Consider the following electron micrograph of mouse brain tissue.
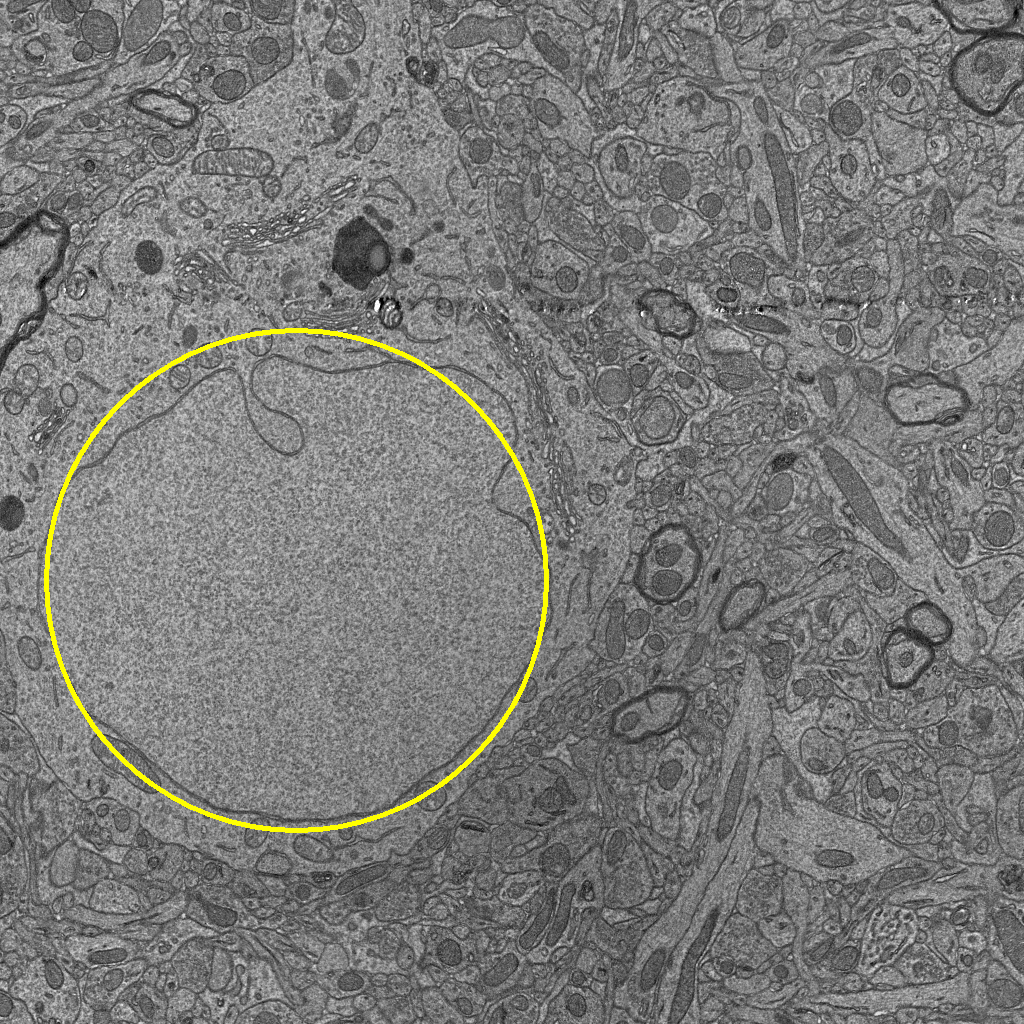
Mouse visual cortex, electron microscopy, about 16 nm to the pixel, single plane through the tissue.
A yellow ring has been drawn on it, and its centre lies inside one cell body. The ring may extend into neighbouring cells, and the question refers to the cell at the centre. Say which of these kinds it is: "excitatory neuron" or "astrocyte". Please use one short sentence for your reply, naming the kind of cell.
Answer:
The centre of the ring falls on an excitatory neuron.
